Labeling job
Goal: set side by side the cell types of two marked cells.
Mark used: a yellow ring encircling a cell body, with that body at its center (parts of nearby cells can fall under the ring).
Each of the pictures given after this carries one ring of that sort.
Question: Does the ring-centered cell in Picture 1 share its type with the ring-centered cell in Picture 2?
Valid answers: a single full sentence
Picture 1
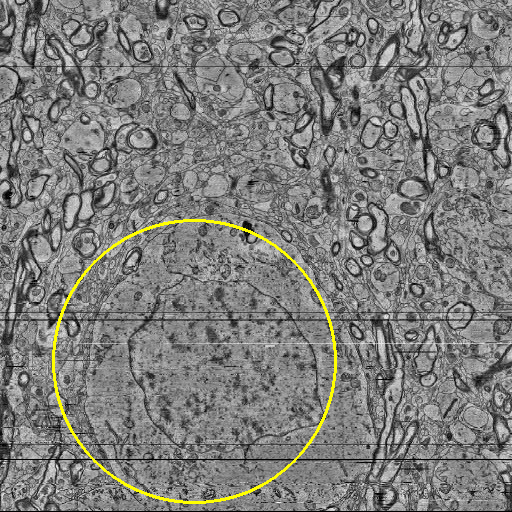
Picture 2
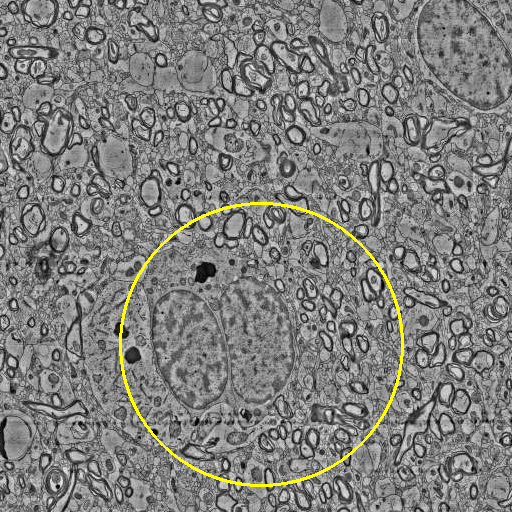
No, in Pictures 1 and 2 the cells at the ring centers have separate types.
